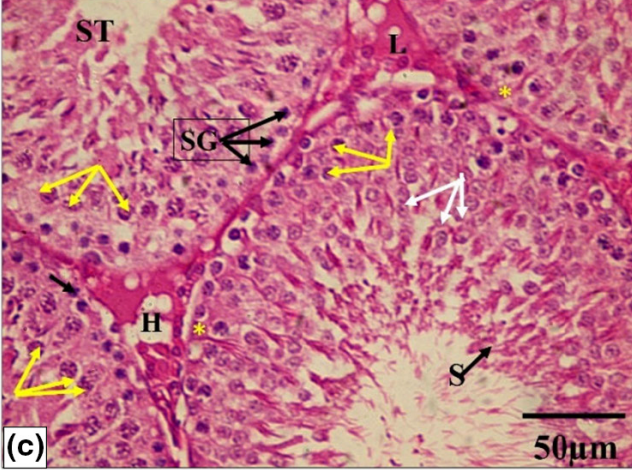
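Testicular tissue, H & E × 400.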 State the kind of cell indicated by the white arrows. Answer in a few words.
spermatids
